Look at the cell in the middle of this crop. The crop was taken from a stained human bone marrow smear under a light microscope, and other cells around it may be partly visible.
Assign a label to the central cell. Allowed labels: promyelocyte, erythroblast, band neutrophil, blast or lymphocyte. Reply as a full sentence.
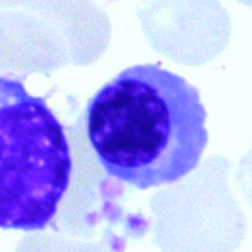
The cell in the exact centre of the crop is an erythroblast.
